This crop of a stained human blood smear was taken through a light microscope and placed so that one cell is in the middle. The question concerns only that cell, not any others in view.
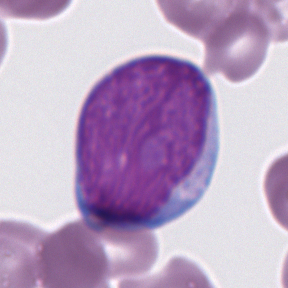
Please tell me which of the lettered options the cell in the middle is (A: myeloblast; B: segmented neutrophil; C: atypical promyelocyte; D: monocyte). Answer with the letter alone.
A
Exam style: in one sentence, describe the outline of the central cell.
Smooth all around, the outline has no projections to report.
